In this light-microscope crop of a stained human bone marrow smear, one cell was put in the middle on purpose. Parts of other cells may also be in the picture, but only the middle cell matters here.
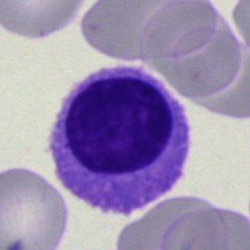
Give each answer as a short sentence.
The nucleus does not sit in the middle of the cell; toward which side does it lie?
The nucleus sits off-centre, toward the top.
